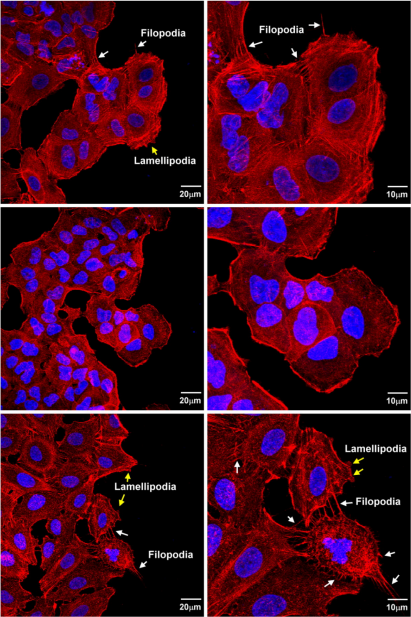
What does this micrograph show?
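The cells are broad and polygonal, spread flat, and each has a large oval nucleus, sometimes two or more crowded together. At free edges, some cells send out thin, spiky red projections, while others show broad, sheet-like ruffled margins. In one row, the cell edges are smoother and fewer spikes stick out, so the clusters look more compact.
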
